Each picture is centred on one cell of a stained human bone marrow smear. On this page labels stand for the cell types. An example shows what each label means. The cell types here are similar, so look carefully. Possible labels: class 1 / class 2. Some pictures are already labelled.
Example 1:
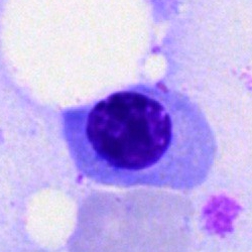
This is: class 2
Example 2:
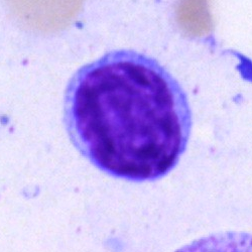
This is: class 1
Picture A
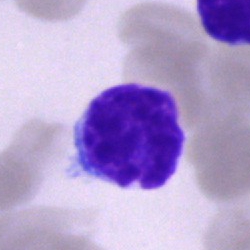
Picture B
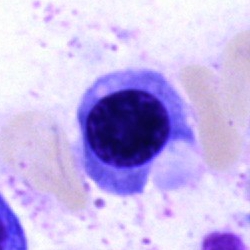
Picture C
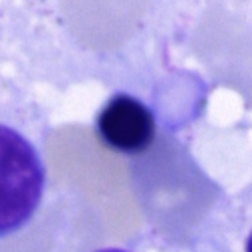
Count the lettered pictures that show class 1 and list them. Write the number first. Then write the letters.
1, namely A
